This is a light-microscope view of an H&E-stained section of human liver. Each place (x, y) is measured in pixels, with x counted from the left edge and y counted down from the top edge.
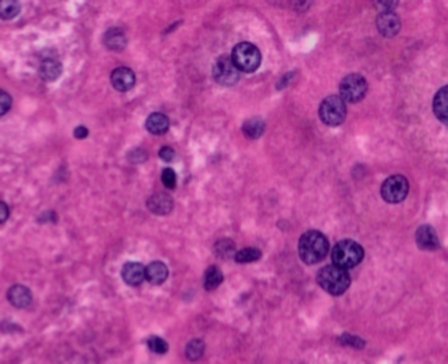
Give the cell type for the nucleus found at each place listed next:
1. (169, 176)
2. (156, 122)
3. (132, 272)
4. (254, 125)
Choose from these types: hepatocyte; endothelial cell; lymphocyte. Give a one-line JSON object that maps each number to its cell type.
{"1": "lymphocyte", "2": "hepatocyte", "3": "hepatocyte", "4": "endothelial cell"}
